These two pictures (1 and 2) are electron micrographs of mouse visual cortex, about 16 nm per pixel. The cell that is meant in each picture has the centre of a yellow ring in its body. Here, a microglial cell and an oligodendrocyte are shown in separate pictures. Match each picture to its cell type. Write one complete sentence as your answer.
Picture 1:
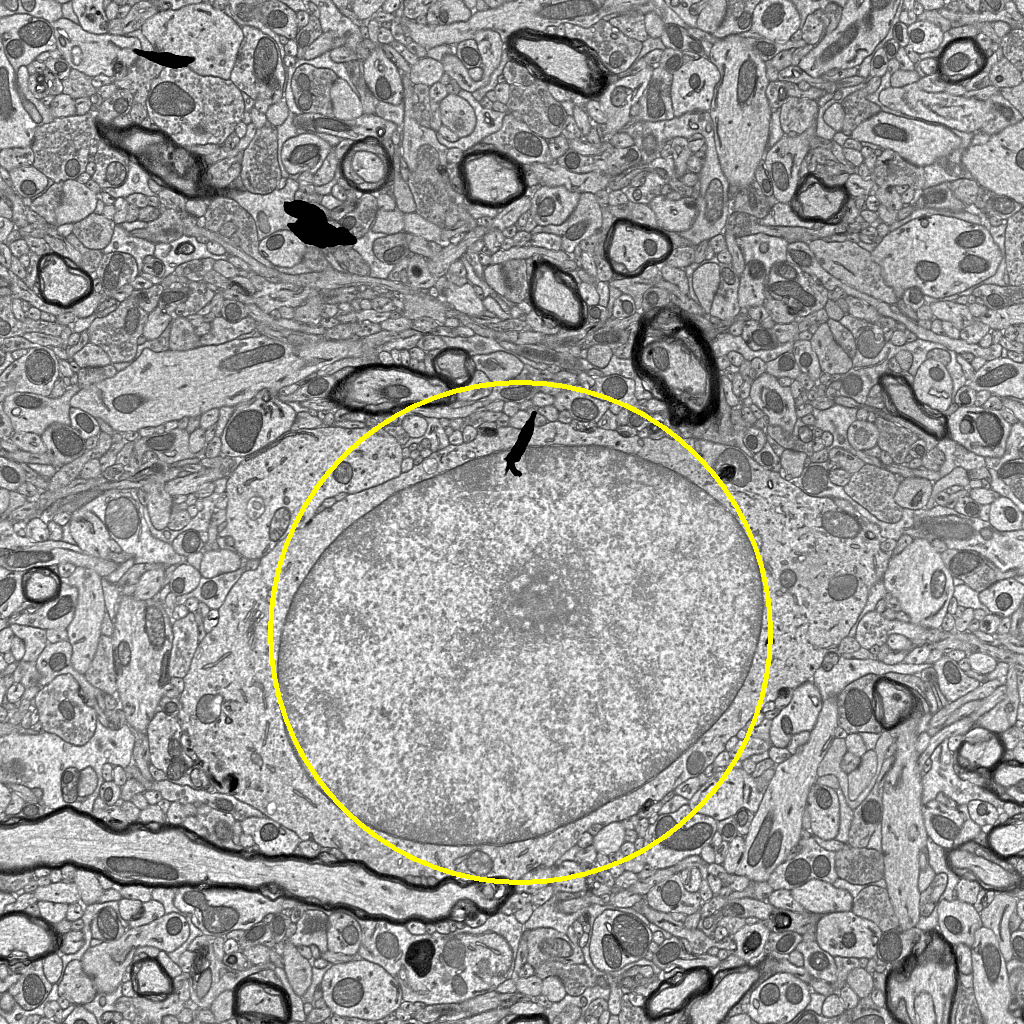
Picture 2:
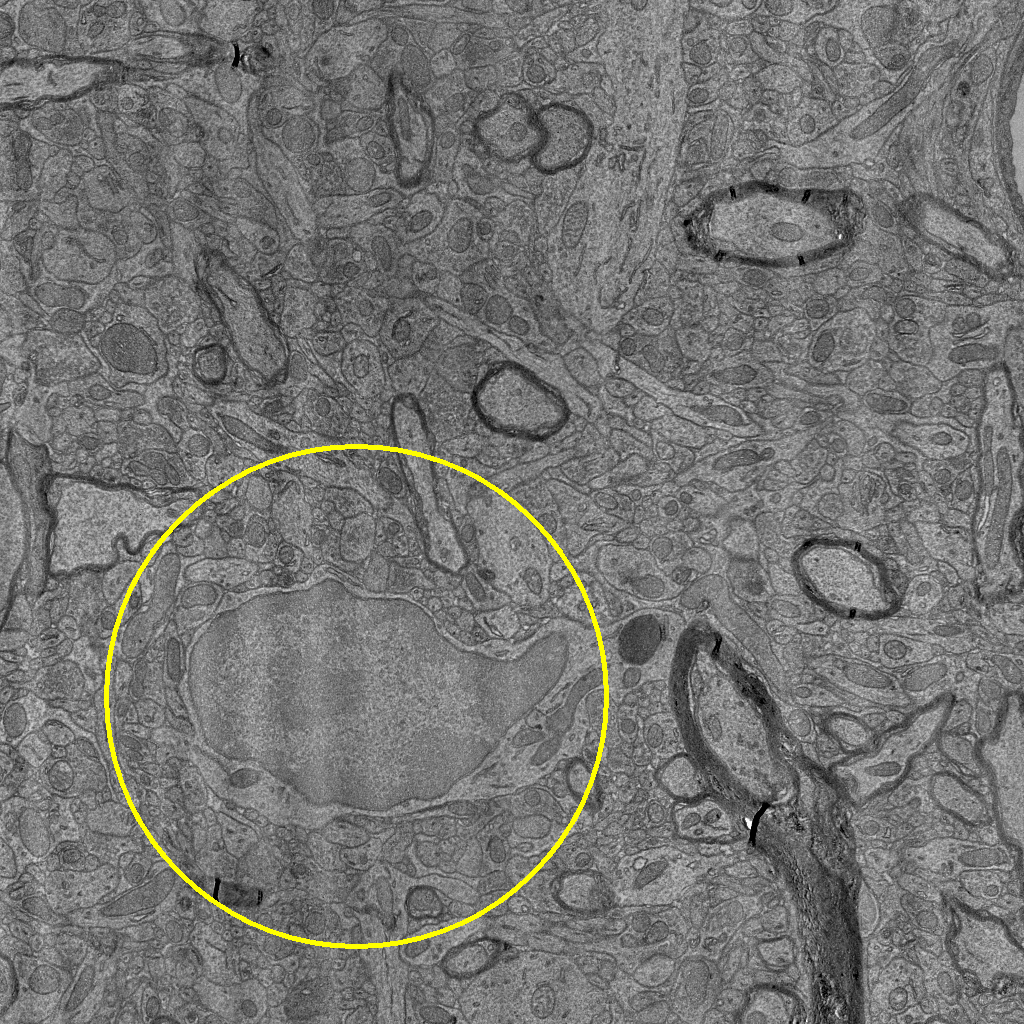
In picture 1 the cell is an oligodendrocyte; in picture 2, a microglial cell.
